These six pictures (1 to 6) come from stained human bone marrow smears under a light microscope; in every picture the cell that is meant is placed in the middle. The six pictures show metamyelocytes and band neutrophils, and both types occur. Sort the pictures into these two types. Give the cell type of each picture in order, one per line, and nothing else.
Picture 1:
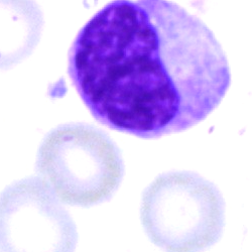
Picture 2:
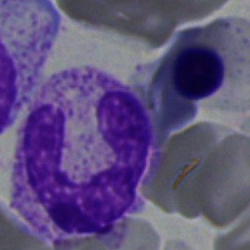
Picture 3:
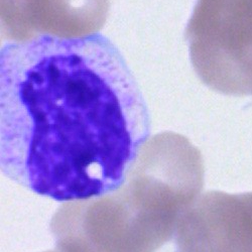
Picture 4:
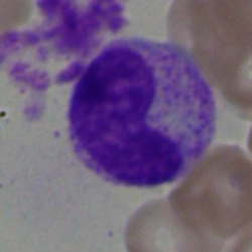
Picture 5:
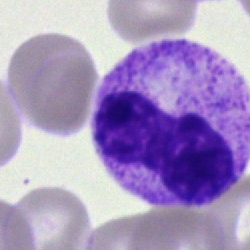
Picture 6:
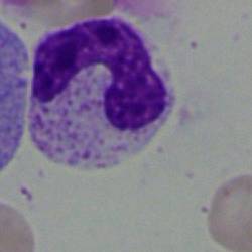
metamyelocyte
band neutrophil
metamyelocyte
metamyelocyte
band neutrophil
band neutrophil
